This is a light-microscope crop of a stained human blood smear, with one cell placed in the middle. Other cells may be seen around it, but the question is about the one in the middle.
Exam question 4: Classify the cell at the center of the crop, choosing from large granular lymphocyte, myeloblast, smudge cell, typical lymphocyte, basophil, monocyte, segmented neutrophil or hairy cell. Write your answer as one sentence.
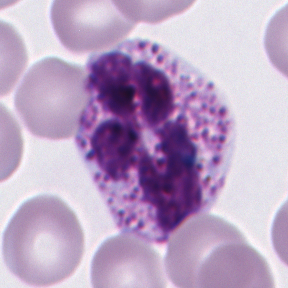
Looking at the middle of the crop, the cell there is a basophil.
